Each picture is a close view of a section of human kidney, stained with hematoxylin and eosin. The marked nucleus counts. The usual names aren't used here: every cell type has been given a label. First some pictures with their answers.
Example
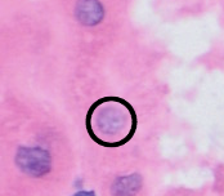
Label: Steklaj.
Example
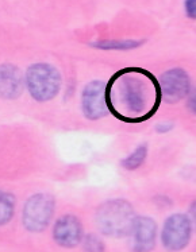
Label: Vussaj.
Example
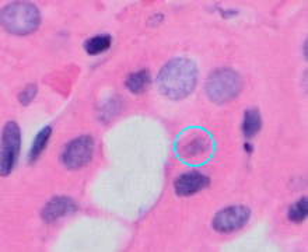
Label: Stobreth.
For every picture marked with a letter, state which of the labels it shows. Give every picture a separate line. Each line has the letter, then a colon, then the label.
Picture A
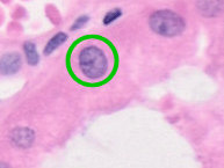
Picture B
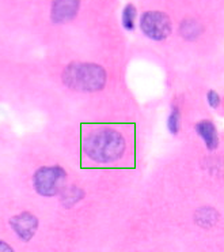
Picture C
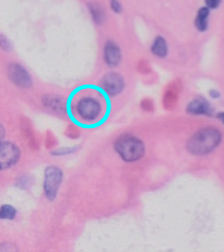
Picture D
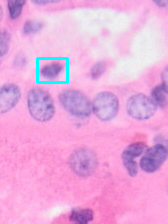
A: Steklaj.
B: Steklaj.
C: Vussaj.
D: Vussaj.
